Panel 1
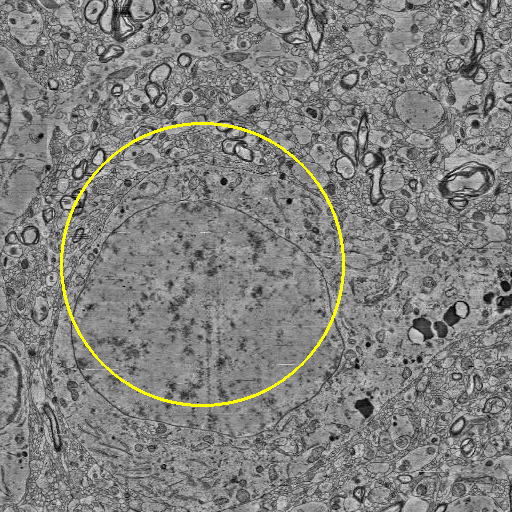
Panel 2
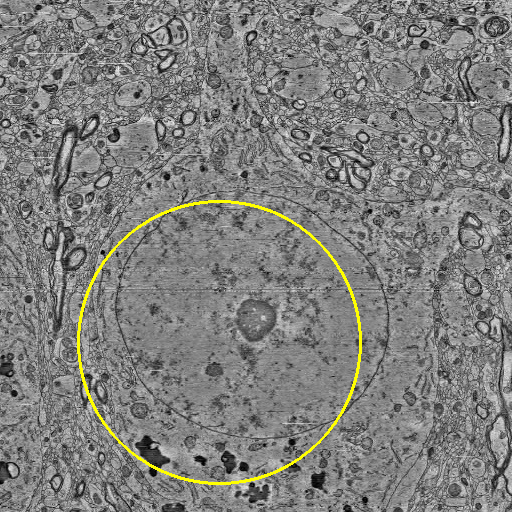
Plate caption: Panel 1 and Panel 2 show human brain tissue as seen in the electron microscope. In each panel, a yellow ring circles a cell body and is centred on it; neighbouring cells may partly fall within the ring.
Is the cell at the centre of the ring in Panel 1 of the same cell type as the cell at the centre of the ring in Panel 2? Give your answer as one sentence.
Yes, the two cells are of the same type.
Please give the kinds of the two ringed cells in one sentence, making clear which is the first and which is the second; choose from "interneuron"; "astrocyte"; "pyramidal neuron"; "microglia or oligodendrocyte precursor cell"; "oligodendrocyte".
Both rings mark a pyramidal neuron, one in each picture.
